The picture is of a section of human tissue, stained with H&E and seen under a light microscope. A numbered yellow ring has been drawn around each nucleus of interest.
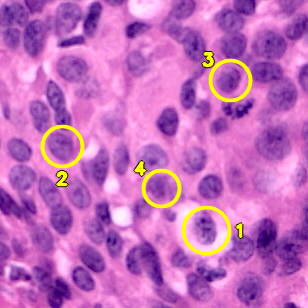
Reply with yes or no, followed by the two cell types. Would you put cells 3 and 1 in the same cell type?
No, cell number 3 is a carcinoma cell, and cell number 1 is a macrophage or monocyte.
